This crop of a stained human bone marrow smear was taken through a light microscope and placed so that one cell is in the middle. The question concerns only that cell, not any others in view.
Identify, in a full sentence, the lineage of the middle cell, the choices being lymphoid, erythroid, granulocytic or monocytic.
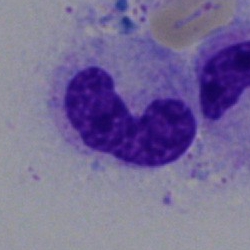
Lineage-wise, the central cell here belongs with the granulocytic series.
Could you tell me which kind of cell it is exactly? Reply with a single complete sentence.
What sits at the centre of this crop is a band neutrophil.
